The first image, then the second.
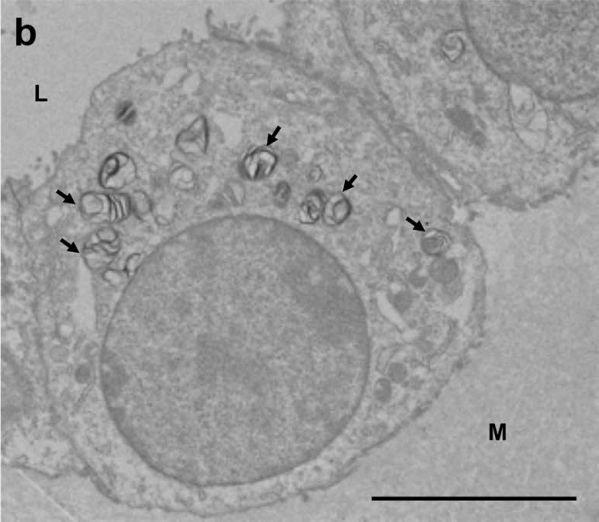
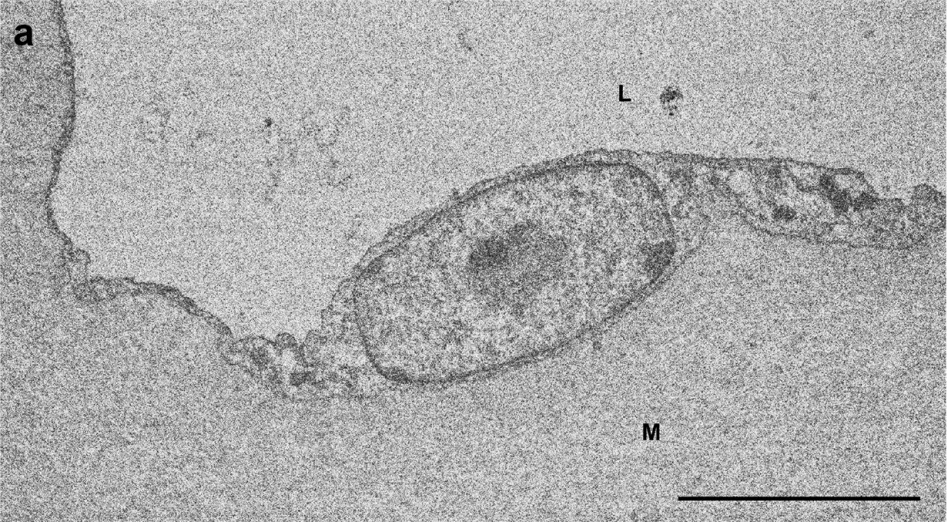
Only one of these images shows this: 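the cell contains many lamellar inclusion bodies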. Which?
The first image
